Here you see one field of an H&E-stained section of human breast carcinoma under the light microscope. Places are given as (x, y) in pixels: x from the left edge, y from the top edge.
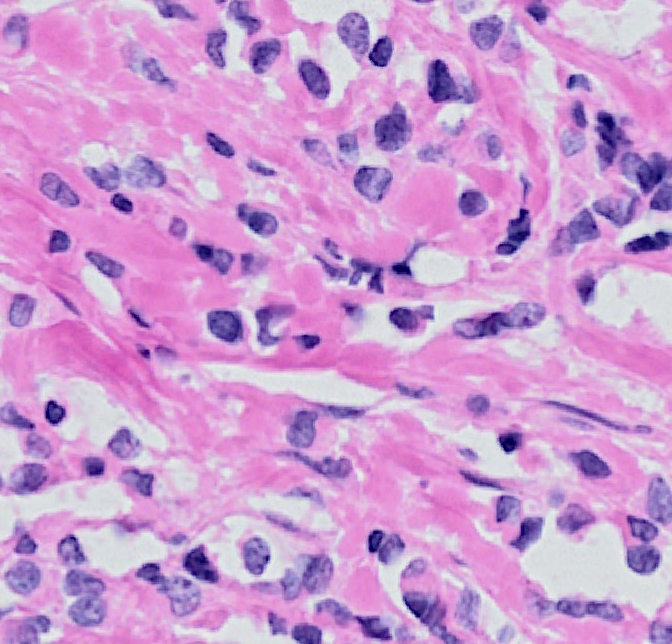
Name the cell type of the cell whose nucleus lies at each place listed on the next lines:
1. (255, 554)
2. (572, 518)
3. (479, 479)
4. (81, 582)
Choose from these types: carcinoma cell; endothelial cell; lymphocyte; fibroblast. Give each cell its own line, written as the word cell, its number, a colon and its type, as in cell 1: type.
cell 1: carcinoma cell
cell 2: carcinoma cell
cell 3: fibroblast
cell 4: carcinoma cell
